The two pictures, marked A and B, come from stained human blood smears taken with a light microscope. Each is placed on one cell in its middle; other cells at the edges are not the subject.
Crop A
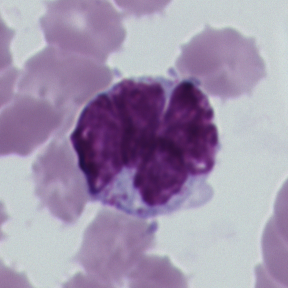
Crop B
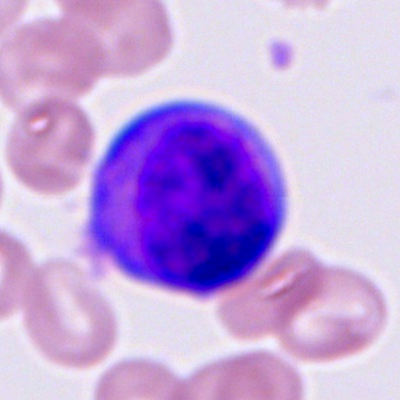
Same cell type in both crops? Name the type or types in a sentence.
No, the cell of interest in crop A is a lymphocyte, and in crop B it is a blast.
